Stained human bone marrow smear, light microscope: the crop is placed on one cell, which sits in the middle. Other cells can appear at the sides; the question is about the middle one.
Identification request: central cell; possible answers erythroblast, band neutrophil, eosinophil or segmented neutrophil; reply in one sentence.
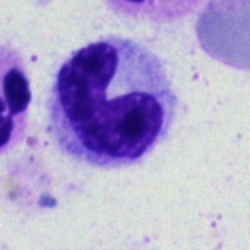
At the center of the crop sits a band neutrophil.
